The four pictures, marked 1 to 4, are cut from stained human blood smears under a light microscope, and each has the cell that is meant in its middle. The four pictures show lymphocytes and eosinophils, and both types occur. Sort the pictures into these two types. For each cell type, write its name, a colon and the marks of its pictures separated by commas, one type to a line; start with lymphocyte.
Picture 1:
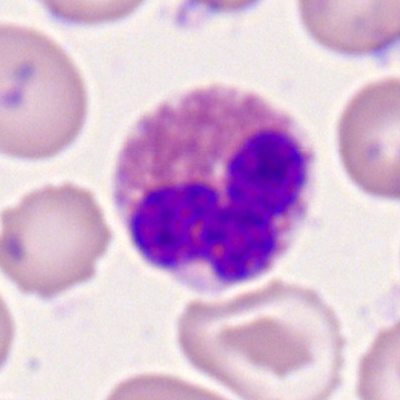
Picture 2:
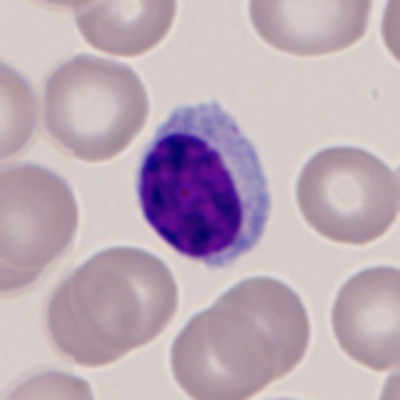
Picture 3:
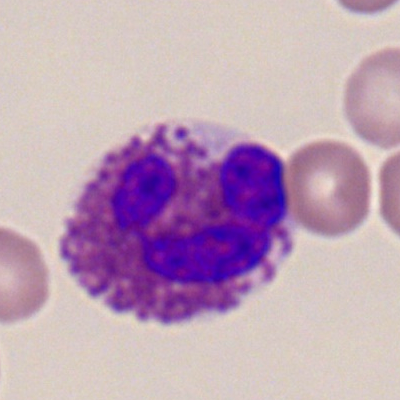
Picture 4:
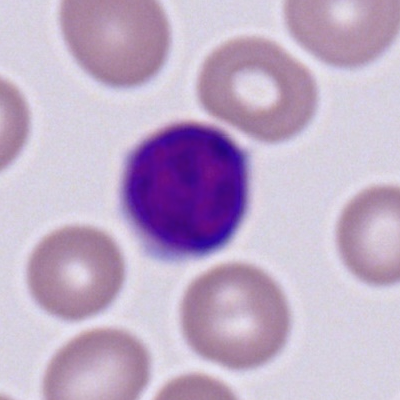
lymphocyte: 2, 4
eosinophil: 1, 3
